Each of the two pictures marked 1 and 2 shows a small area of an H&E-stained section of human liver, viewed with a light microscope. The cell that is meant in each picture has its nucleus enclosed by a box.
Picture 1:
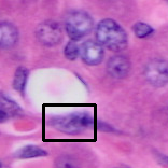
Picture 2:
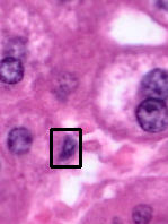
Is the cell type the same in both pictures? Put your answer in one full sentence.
Yes, both cells are “fibroblasts or stellate cells”.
